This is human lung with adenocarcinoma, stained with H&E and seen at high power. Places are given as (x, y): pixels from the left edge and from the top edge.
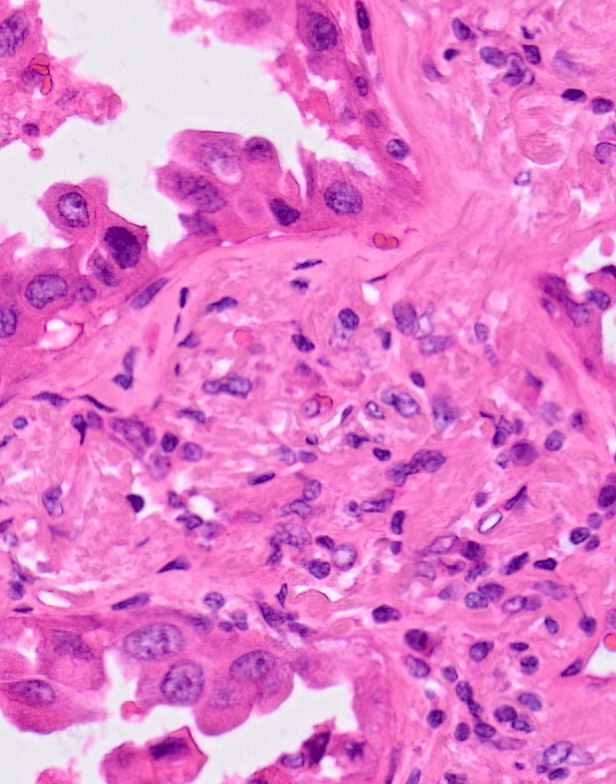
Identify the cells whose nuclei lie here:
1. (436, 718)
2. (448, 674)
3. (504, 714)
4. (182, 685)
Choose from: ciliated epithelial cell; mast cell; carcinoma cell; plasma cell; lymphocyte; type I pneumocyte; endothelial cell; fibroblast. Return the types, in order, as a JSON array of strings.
["lymphocyte", "lymphocyte", "lymphocyte", "carcinoma cell"]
